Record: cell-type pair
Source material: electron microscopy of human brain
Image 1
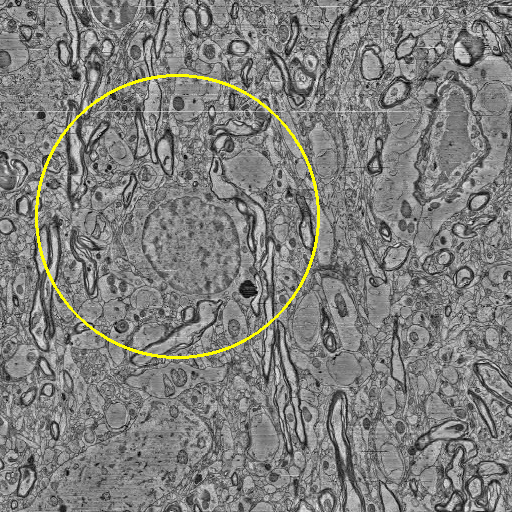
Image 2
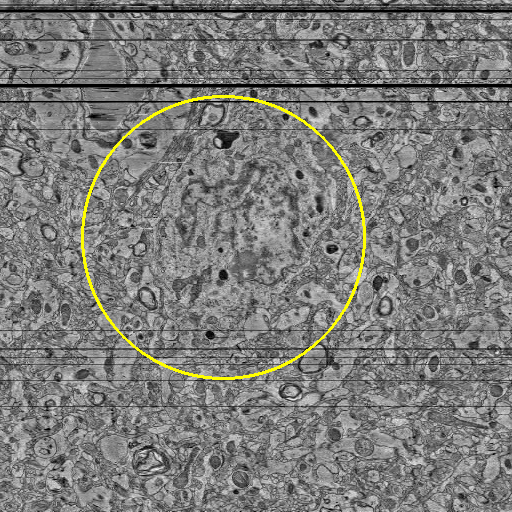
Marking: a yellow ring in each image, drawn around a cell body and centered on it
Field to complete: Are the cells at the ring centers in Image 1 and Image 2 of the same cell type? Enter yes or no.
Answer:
no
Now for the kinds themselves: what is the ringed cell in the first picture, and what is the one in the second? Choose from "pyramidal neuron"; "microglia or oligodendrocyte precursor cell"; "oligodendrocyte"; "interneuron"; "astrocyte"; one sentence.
Here the first cell is an oligodendrocyte and the second cell is an interneuron.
